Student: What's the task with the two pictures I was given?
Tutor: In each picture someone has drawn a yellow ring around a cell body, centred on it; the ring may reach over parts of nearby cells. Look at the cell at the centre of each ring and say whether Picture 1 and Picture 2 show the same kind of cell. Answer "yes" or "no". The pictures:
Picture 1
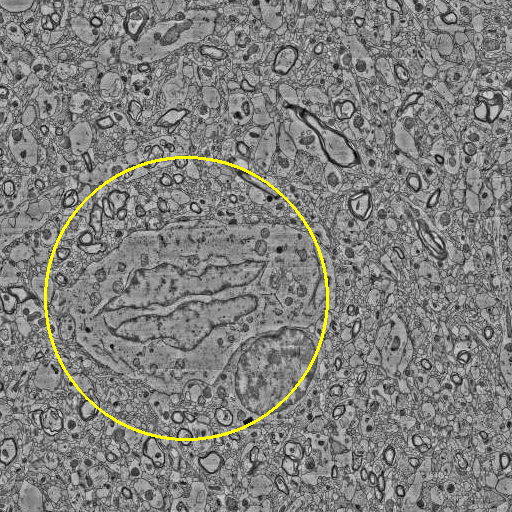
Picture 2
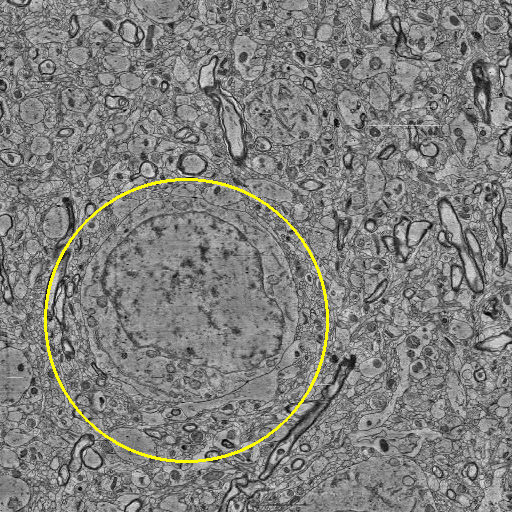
yes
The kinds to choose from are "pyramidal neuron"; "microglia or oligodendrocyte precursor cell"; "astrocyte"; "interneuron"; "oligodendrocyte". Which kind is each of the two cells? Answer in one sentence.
Each of the two rings is centred on an interneuron.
